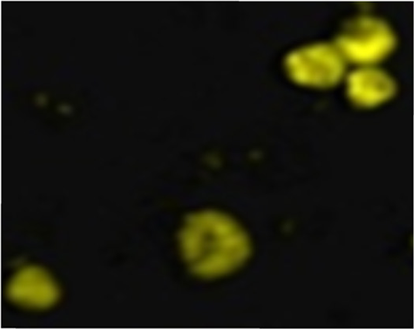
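A small cluster of three cells lies at the upper right. Another cell near the lower middle has a darker centre and a brighter rim, and faint yellow specks are scattered between the cells.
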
